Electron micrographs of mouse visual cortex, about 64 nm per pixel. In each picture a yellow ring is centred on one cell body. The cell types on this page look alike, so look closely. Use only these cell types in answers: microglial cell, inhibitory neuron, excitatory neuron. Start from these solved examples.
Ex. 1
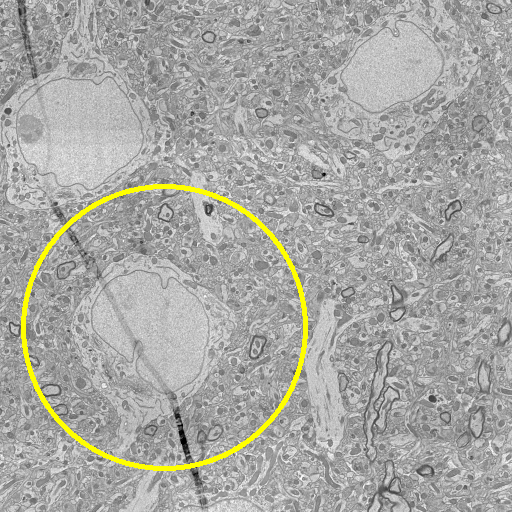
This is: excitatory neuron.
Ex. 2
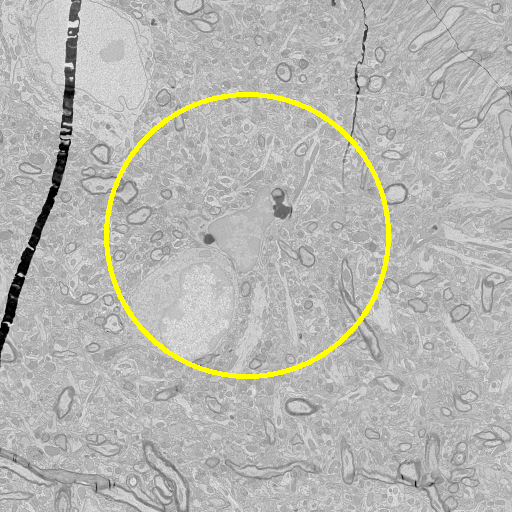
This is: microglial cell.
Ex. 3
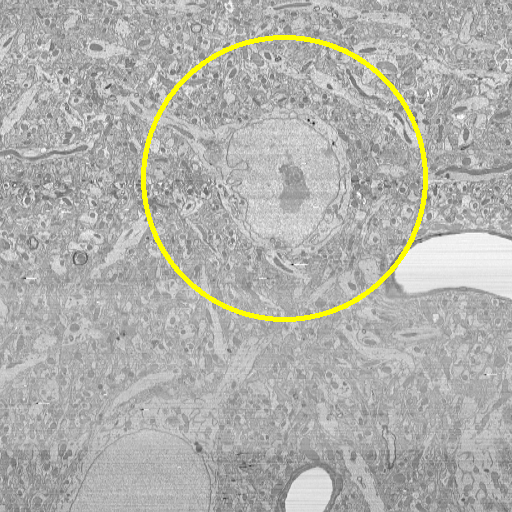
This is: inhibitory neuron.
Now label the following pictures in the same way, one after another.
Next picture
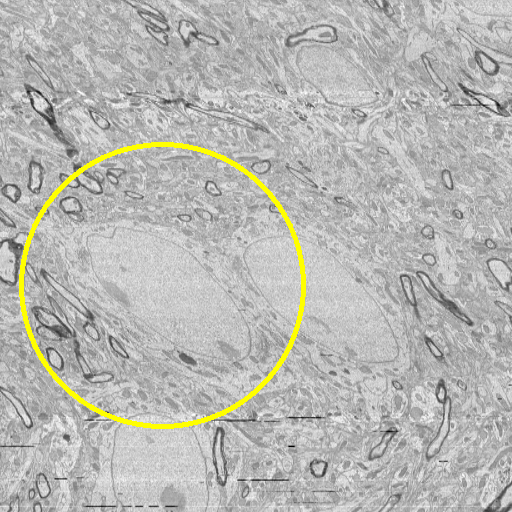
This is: excitatory neuron.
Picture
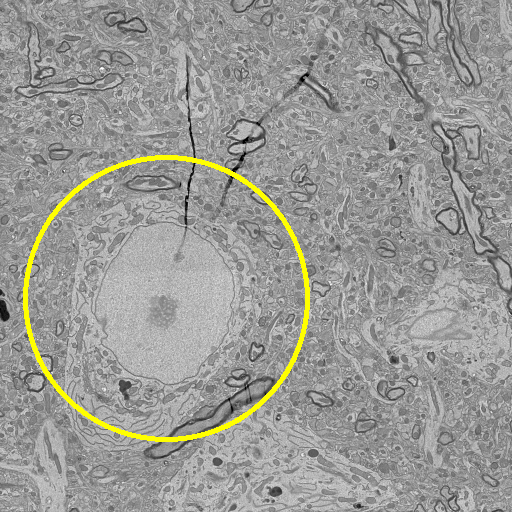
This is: inhibitory neuron.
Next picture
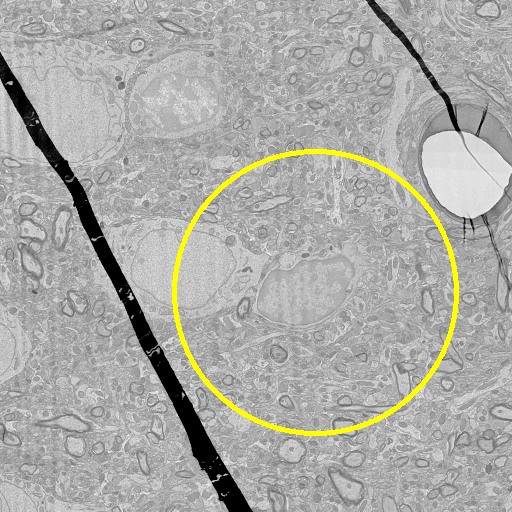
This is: microglial cell.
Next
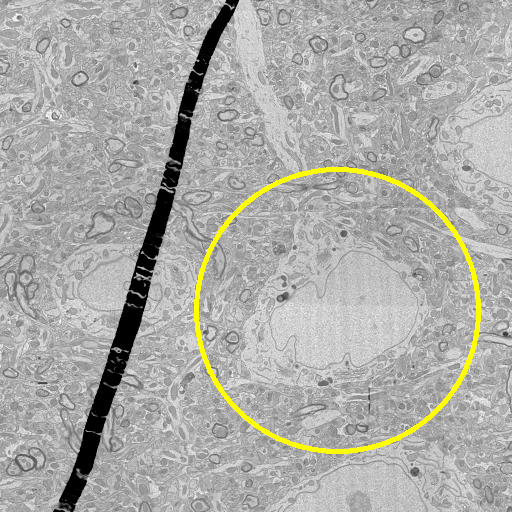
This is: excitatory neuron.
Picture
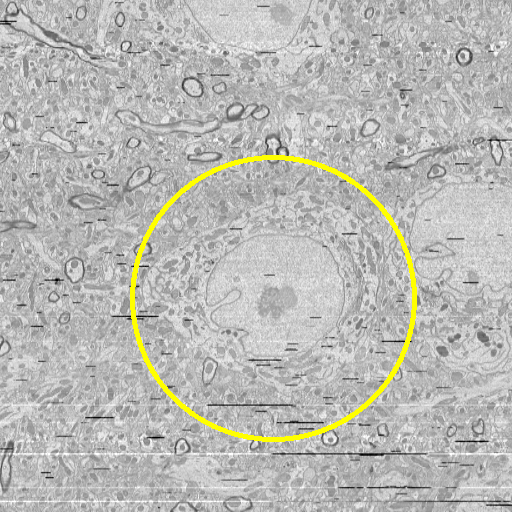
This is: inhibitory neuron.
